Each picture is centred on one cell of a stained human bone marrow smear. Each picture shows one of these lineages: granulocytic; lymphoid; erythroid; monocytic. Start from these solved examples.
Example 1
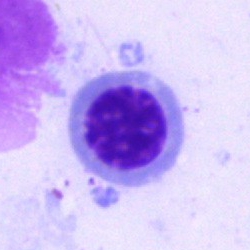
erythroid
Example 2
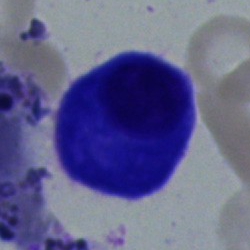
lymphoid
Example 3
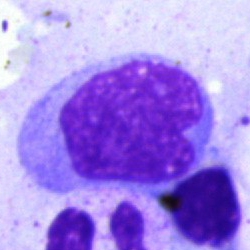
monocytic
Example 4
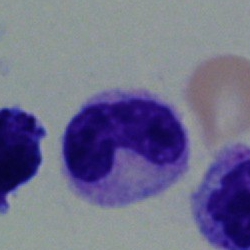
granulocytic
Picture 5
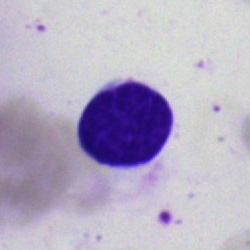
lymphoid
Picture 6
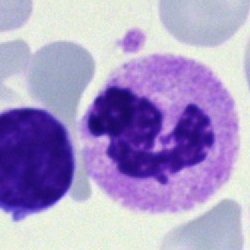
granulocytic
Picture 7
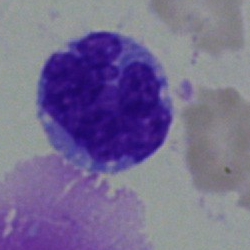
monocytic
